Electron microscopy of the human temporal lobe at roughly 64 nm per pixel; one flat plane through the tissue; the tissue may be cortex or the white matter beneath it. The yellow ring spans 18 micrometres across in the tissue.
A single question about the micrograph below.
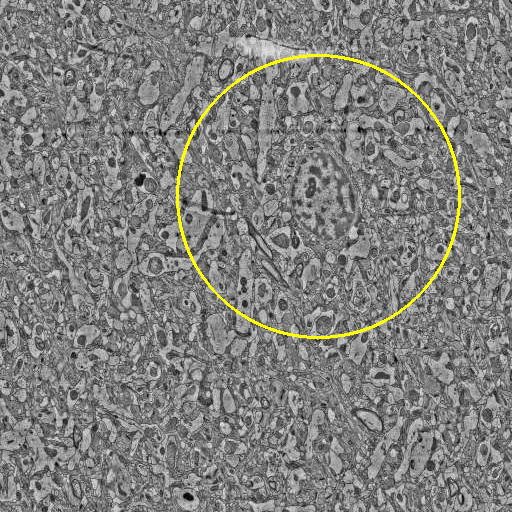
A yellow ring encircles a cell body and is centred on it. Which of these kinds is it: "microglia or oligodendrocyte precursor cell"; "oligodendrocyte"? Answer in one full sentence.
The cell body at the centre of the yellow ring belongs to an oligodendrocyte.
